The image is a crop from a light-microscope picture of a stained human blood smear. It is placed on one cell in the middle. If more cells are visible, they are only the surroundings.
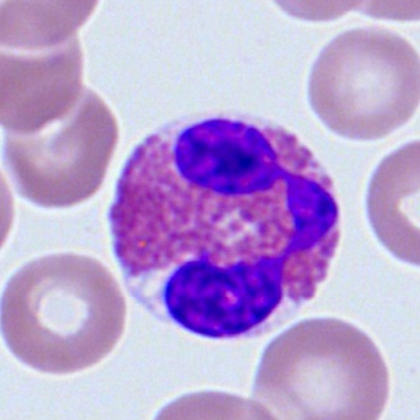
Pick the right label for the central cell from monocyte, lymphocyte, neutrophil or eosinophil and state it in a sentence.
Of the cells in this crop, the central one is an eosinophil.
